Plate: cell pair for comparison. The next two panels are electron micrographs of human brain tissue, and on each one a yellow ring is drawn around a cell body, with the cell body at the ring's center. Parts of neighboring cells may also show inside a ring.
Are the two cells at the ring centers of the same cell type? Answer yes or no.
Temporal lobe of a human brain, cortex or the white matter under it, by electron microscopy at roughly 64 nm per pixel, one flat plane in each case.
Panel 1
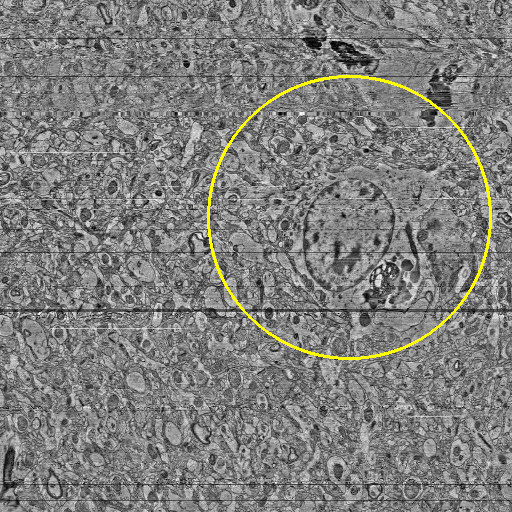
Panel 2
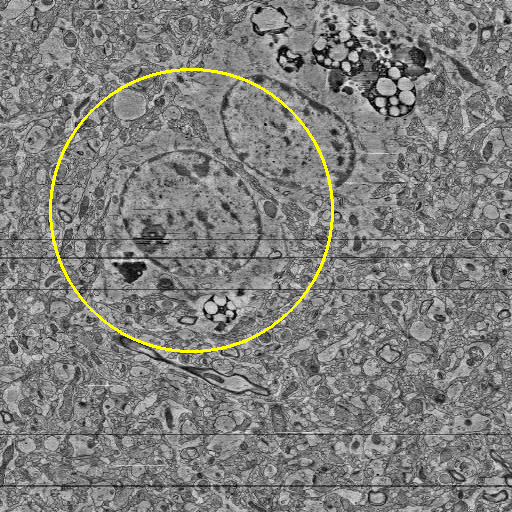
yes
